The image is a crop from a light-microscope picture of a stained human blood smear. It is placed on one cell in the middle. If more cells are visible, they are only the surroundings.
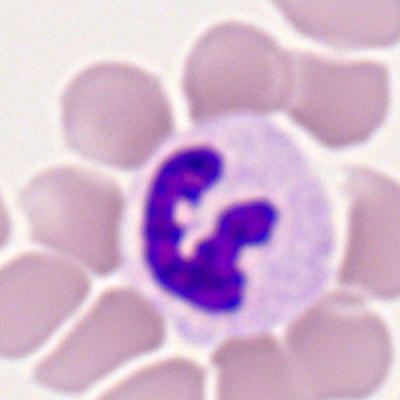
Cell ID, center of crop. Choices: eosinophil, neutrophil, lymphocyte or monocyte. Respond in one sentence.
The cell shown in the center of this light-microscope crop is a neutrophil.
